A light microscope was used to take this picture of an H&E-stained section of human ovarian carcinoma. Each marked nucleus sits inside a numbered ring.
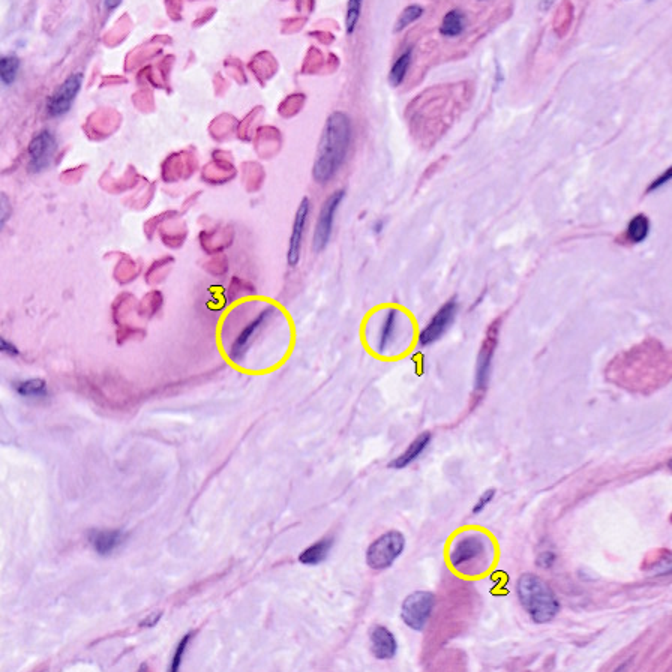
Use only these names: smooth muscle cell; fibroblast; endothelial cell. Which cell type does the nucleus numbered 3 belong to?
endothelial cell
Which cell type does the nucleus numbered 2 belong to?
smooth muscle cell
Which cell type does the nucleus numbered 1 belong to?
fibroblast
